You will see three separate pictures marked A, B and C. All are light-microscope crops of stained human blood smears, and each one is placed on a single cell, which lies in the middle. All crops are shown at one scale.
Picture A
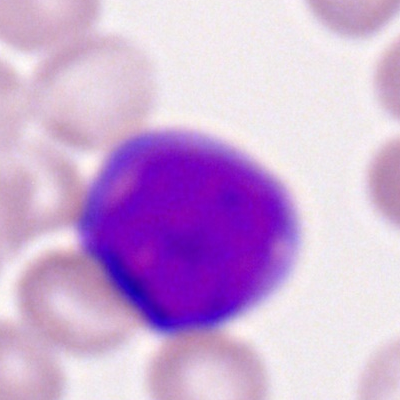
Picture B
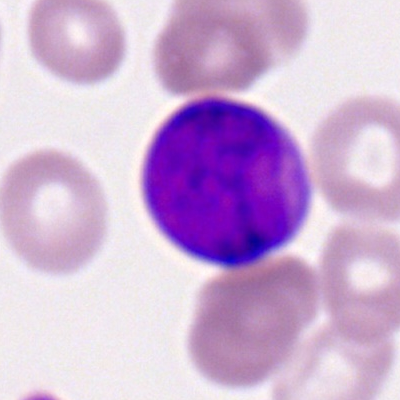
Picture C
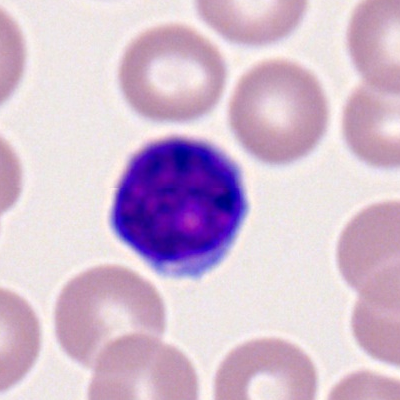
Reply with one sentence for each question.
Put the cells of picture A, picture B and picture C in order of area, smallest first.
Smallest first: C, B, A.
